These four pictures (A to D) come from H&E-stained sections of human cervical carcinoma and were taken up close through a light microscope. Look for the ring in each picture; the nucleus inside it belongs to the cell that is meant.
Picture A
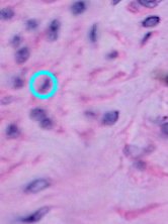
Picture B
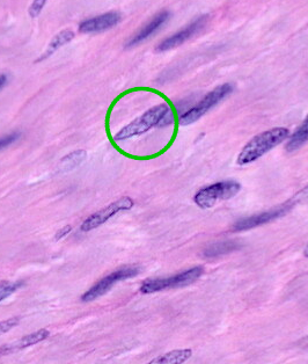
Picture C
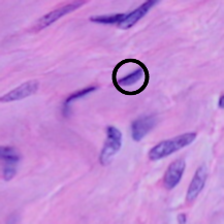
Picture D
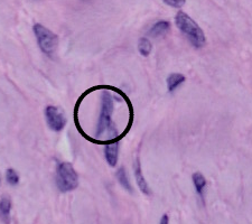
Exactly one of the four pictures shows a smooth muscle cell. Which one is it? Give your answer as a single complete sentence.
The cell in picture A is the smooth muscle cell.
